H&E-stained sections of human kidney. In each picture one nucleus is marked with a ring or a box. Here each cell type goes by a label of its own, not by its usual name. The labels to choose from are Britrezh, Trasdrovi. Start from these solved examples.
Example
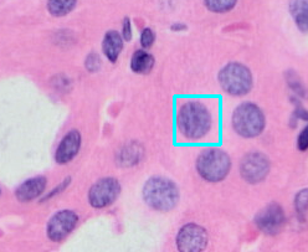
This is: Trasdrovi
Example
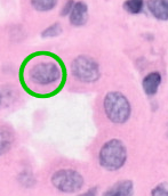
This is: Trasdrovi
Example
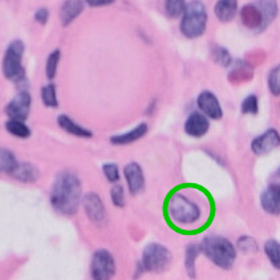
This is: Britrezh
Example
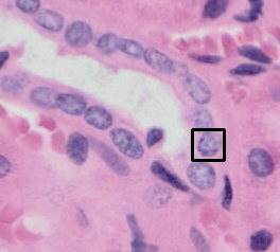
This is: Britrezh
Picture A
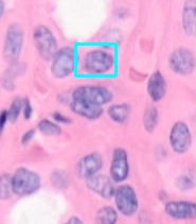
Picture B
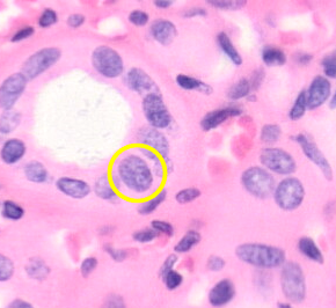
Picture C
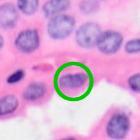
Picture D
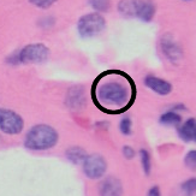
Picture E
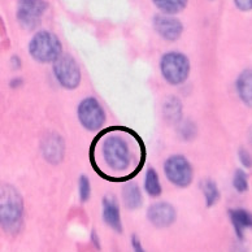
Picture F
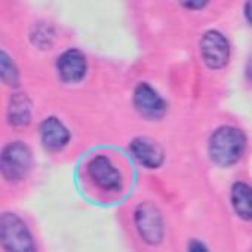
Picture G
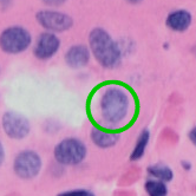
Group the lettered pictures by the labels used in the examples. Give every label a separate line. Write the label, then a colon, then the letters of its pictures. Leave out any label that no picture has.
Britrezh: A, B, E, G
Trasdrovi: C, D, F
